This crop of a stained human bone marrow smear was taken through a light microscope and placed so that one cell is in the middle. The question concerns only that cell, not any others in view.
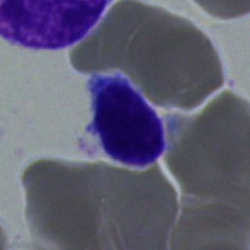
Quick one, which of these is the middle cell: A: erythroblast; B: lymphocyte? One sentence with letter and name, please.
What sits in the middle of the crop is a lymphocyte, and option B is correct.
